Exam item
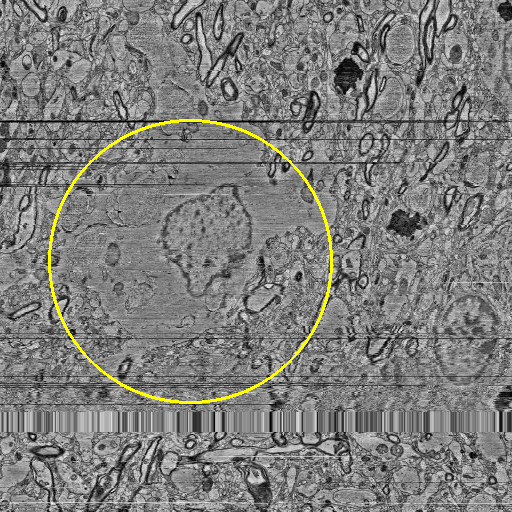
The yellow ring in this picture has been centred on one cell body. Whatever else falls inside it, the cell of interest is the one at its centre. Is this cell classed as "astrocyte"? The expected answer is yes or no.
yes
